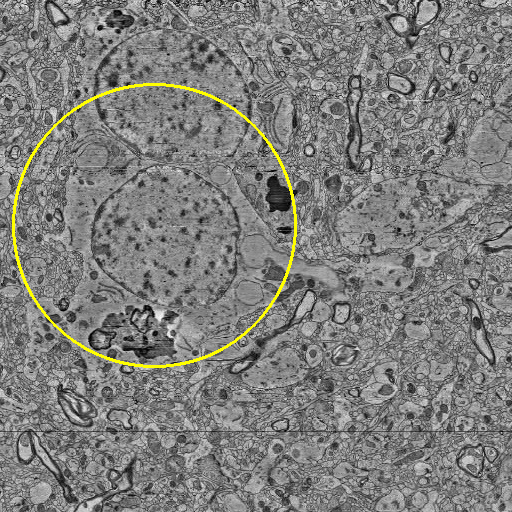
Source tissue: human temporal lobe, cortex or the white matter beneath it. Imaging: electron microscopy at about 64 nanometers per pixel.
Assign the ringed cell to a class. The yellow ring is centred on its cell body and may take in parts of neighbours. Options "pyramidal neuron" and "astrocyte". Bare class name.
astrocyte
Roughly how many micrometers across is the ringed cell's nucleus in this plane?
In this plane, approximately 10 micrometres across.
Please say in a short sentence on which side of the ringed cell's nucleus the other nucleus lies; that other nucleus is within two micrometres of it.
The other nucleus is situated above it.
